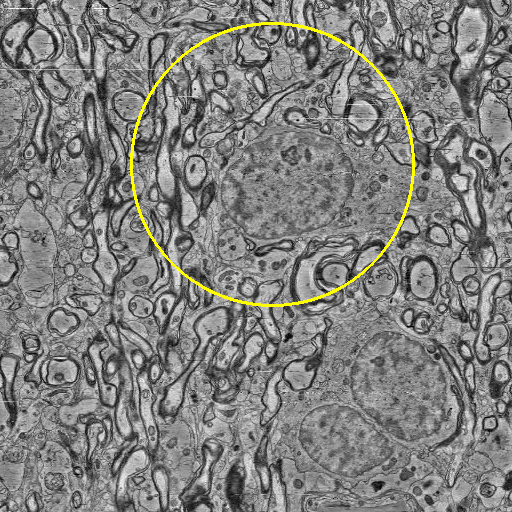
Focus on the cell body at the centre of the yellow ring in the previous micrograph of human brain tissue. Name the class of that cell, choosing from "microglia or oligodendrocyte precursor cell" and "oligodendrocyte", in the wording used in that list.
oligodendrocyte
